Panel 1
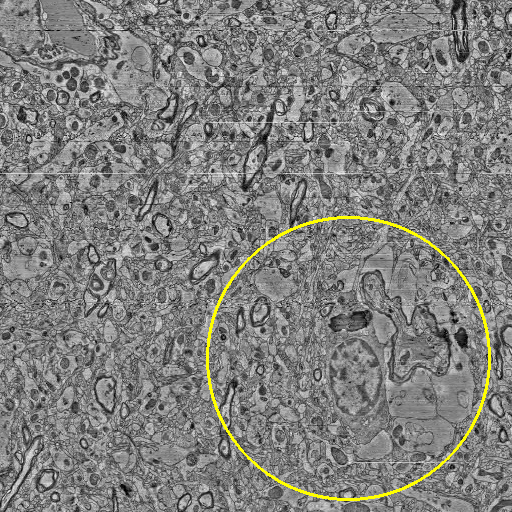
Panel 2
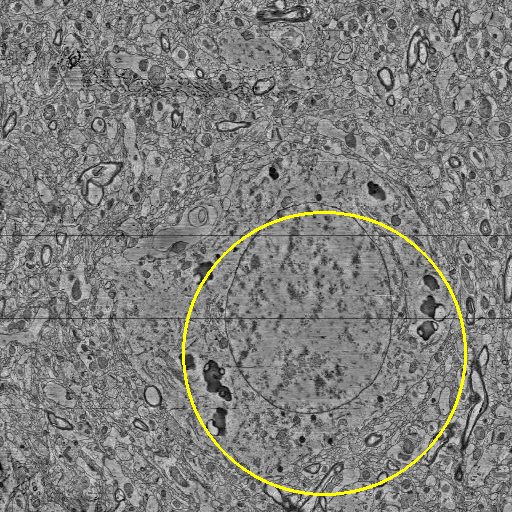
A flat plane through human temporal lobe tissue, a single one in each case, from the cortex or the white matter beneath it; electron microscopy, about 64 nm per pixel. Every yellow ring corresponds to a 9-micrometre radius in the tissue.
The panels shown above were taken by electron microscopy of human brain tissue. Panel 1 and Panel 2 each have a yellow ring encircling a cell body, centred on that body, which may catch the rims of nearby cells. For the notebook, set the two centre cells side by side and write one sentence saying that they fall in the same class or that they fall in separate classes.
The centred cells of Panel 1 and Panel 2 fall in separate classes.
